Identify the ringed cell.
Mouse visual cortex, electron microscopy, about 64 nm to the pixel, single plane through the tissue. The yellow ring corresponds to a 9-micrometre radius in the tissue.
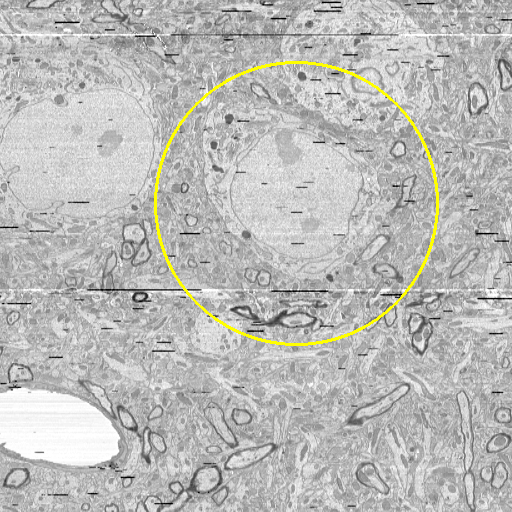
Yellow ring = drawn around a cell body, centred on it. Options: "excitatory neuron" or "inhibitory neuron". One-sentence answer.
What the ring is centred on is an inhibitory neuron.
